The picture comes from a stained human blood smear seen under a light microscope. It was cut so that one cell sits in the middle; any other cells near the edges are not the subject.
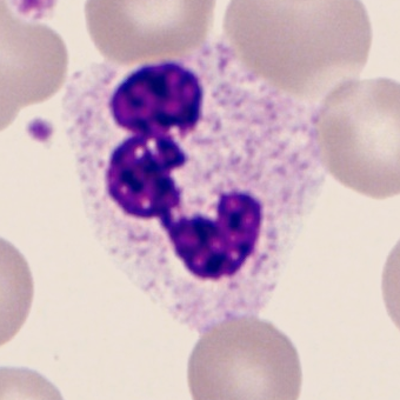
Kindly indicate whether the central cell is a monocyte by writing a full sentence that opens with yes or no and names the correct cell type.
No, in this crop the central cell is a segmented neutrophil instead of a monocyte.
